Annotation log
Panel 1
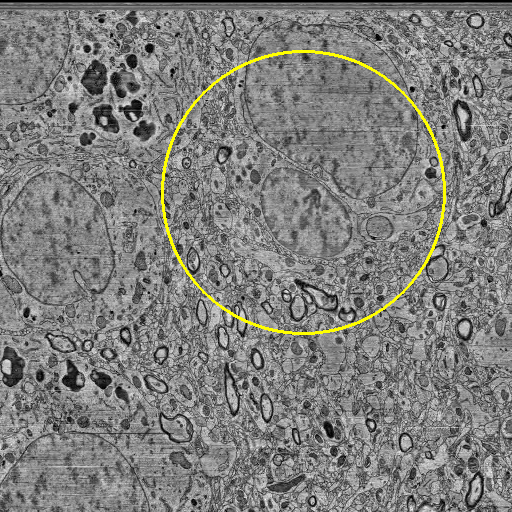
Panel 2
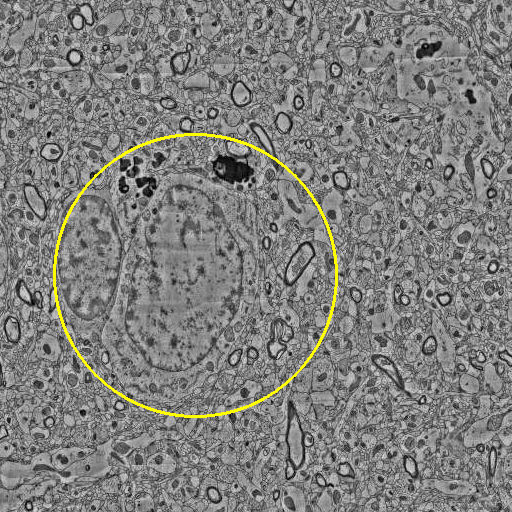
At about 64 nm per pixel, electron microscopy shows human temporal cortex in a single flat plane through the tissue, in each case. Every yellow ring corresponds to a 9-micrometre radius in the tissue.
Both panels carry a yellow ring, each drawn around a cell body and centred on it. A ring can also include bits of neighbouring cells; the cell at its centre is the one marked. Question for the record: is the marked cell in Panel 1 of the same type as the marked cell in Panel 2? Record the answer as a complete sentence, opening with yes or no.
No, the marked cells in Panel 1 and Panel 2 are of two types.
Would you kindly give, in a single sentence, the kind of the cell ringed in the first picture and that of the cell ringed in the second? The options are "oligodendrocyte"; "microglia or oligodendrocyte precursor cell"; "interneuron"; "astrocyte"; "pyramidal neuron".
The second cell is an interneuron, and the first cell is an oligodendrocyte.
